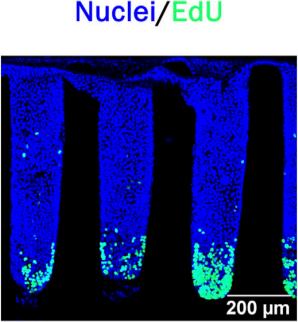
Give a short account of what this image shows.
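This sideview shows several elongated crypts, each a finger-like tube closed at the bottom and opening into a continuous surface layer at the top. The crypt walls are lined by densely packed epithelial cells whose blue nuclei outline each tube. Above the base, green nuclei become sparse, and the upper parts of the crypts and the surface layer contain nearly only blue nuclei. The dark spaces between the crypts are free of nuclei.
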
